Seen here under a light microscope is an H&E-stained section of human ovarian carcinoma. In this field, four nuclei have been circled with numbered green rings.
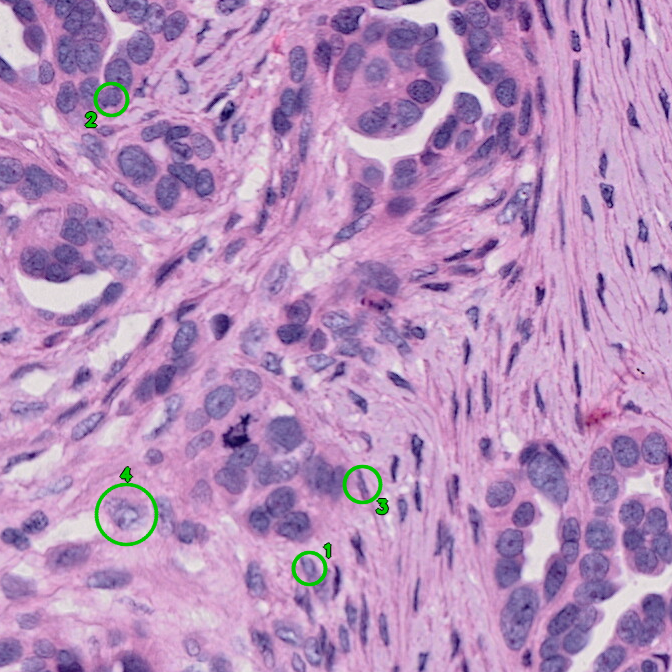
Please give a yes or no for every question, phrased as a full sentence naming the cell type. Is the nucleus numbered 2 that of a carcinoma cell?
Yes, the cell that is numbered 2 is a carcinoma cell.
